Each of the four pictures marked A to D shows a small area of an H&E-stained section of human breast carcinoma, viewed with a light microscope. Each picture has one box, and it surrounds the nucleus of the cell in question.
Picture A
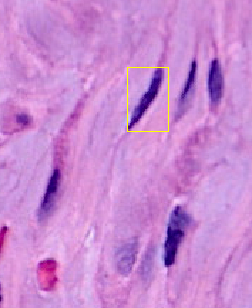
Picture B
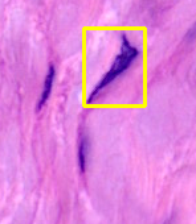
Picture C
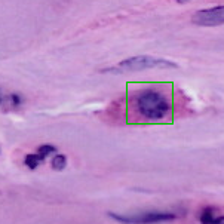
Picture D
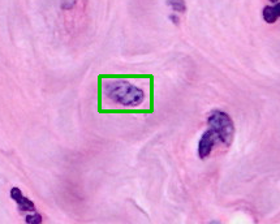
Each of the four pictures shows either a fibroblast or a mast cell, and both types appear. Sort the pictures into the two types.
A: fibroblast
B: fibroblast
C: mast cell
D: mast cell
